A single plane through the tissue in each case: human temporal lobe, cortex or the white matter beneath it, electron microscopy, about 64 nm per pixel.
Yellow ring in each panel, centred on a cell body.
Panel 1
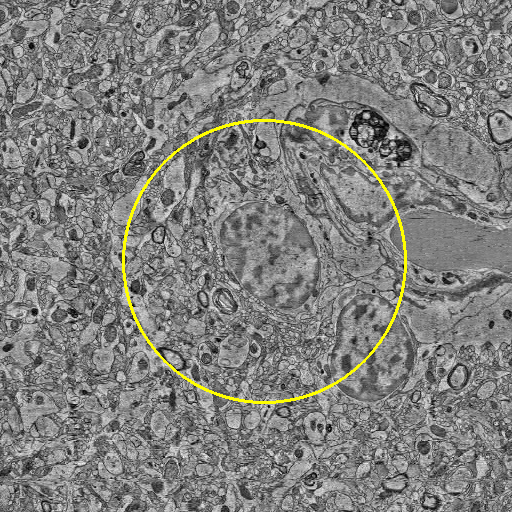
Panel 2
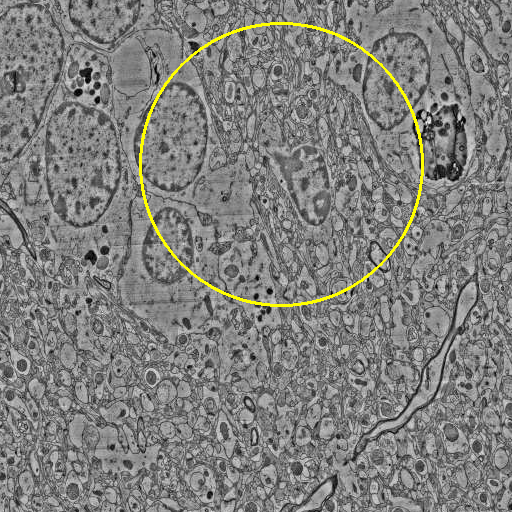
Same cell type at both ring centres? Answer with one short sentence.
No, the two cells are of two types.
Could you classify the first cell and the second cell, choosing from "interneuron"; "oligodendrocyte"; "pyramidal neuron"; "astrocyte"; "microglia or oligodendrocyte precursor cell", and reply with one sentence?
The second cell is a microglial cell or oligodendrocyte precursor cell, while the first is an oligodendrocyte.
